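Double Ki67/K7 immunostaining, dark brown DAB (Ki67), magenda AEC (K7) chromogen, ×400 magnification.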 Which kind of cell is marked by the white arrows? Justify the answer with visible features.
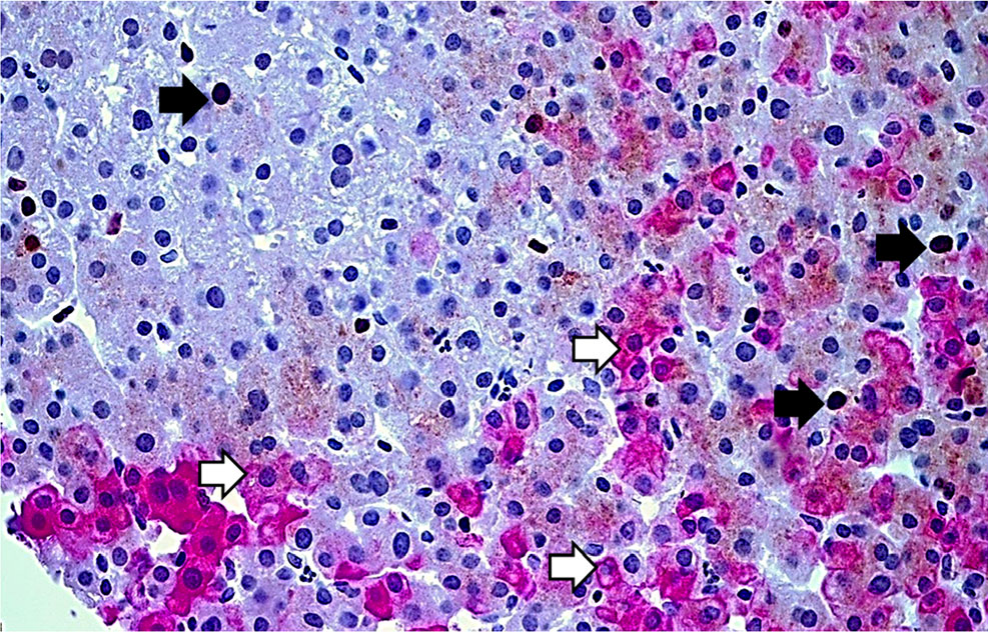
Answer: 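The white arrows point to large polygonal cells with magenta cytoplasm. These cells have round, central, blue nuclei with no brown stain. They lie within plates of similar large polygonal cells. So: hepatocytes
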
